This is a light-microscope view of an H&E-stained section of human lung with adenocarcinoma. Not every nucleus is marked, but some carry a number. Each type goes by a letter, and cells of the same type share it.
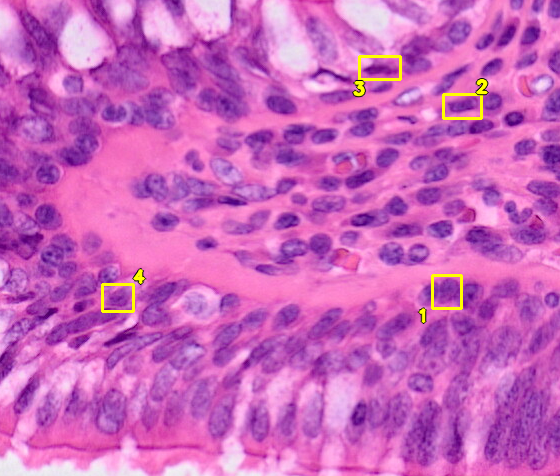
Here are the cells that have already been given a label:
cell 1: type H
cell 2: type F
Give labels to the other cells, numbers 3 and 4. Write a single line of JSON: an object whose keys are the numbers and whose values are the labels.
{"3": "type H", "4": "type H"}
